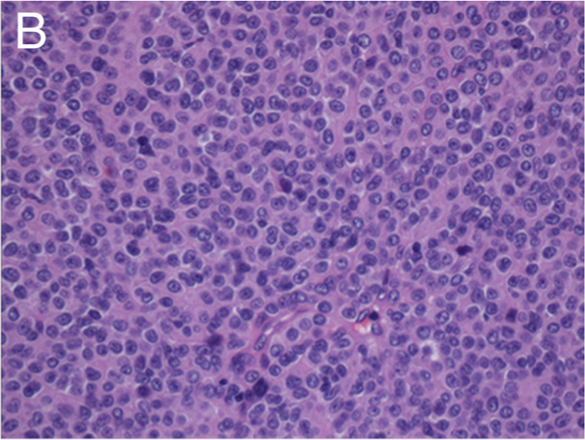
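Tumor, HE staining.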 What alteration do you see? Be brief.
Cytological atypia.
